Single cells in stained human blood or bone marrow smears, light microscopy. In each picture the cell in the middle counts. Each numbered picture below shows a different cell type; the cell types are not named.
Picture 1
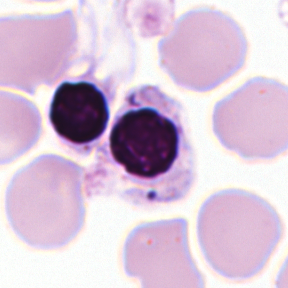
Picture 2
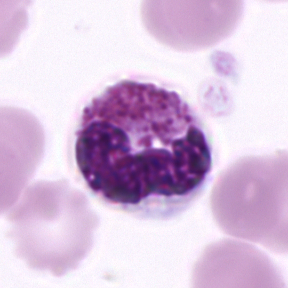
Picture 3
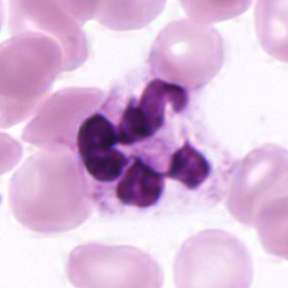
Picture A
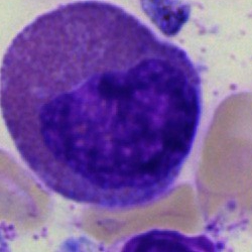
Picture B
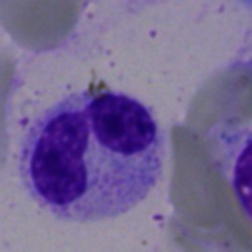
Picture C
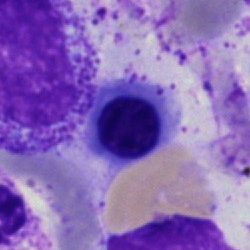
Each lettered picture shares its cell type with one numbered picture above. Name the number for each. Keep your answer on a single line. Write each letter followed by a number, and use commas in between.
A 2, B 3, C 1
